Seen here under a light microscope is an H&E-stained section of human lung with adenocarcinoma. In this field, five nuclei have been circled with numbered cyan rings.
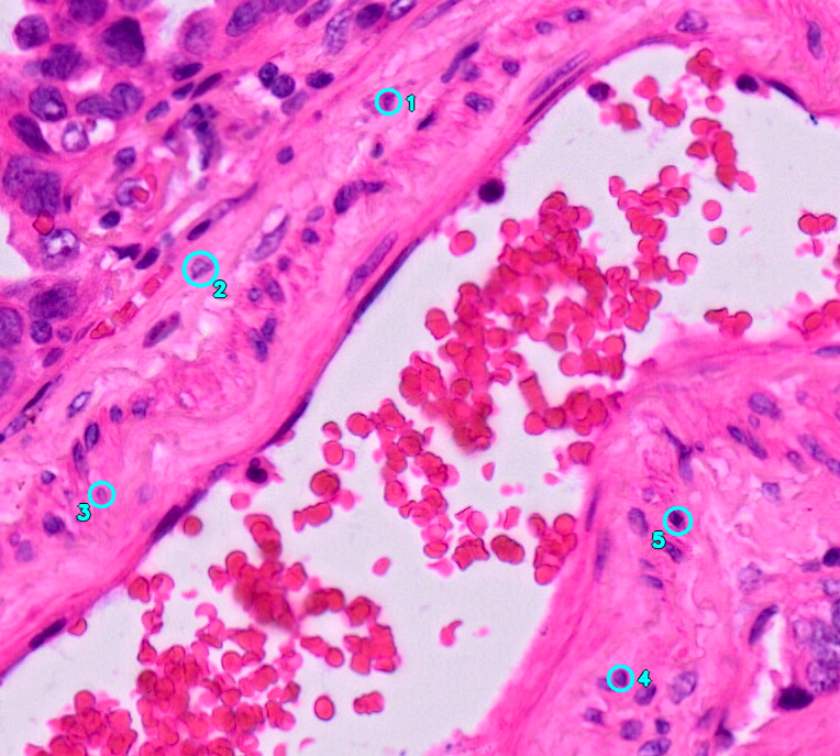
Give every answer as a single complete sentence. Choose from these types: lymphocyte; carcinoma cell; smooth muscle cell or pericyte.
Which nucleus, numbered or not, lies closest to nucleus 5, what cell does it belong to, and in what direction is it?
A smooth muscle cell or pericyte lies closest, below nucleus 5.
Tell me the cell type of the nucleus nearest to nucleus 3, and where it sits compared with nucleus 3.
Lying to the left of nucleus 3, the nearest nucleus is that of a smooth muscle cell or pericyte.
